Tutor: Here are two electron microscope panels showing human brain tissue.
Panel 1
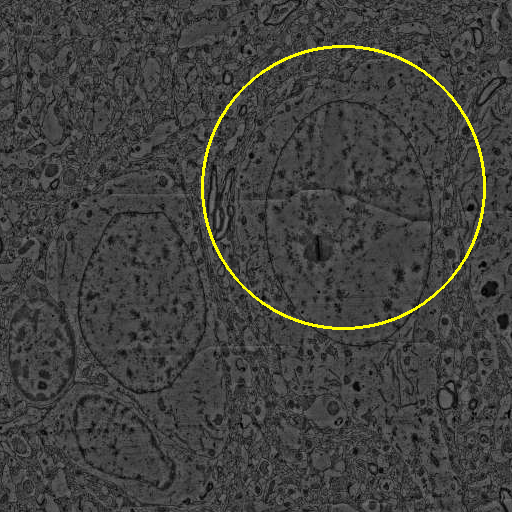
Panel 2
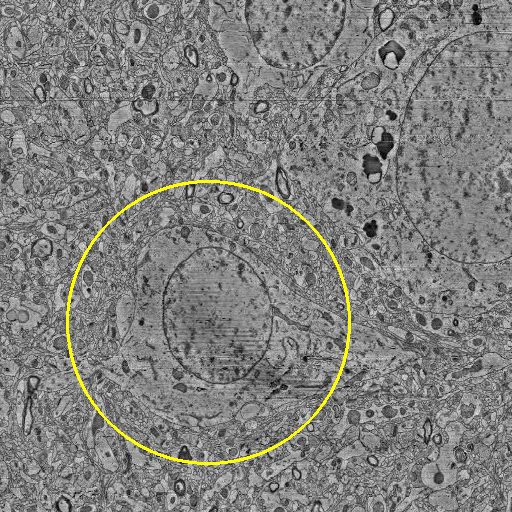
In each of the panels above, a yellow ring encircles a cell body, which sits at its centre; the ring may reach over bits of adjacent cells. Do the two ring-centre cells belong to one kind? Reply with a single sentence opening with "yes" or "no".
Yes, the two cells sitting at the ring centres in the panels belong to one kind.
